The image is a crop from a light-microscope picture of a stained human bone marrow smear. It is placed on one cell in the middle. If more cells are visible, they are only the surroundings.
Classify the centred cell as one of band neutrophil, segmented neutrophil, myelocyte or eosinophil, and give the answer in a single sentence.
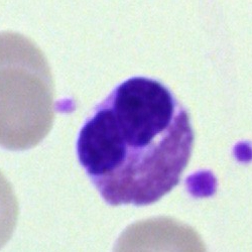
The cell in the middle of the field of view is an eosinophil.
